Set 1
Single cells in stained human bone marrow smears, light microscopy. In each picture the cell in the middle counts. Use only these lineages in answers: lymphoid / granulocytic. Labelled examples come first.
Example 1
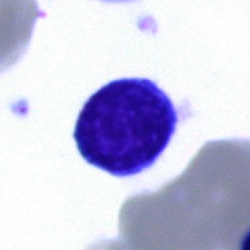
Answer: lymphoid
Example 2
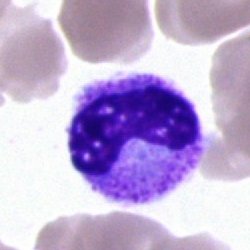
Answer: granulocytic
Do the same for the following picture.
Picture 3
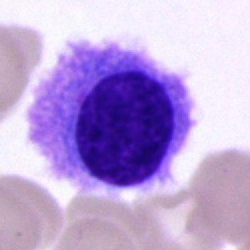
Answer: lymphoid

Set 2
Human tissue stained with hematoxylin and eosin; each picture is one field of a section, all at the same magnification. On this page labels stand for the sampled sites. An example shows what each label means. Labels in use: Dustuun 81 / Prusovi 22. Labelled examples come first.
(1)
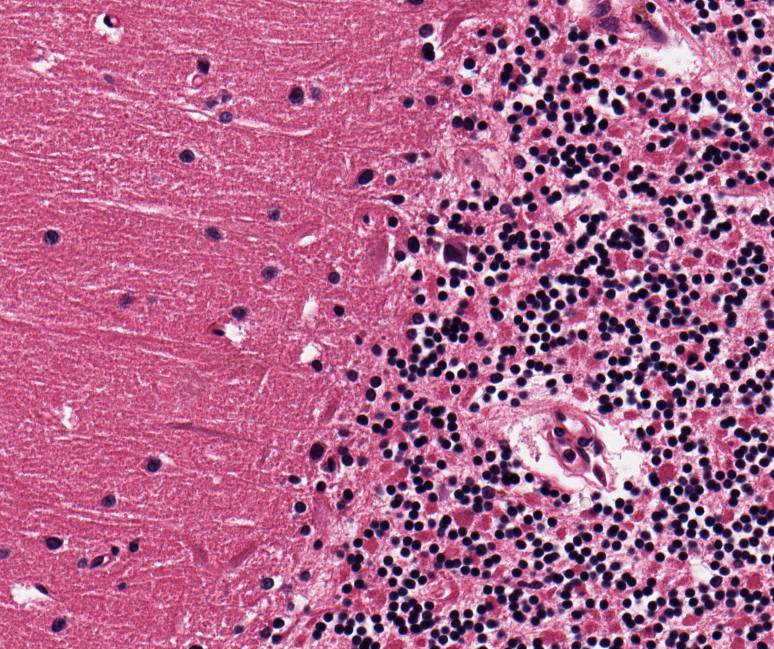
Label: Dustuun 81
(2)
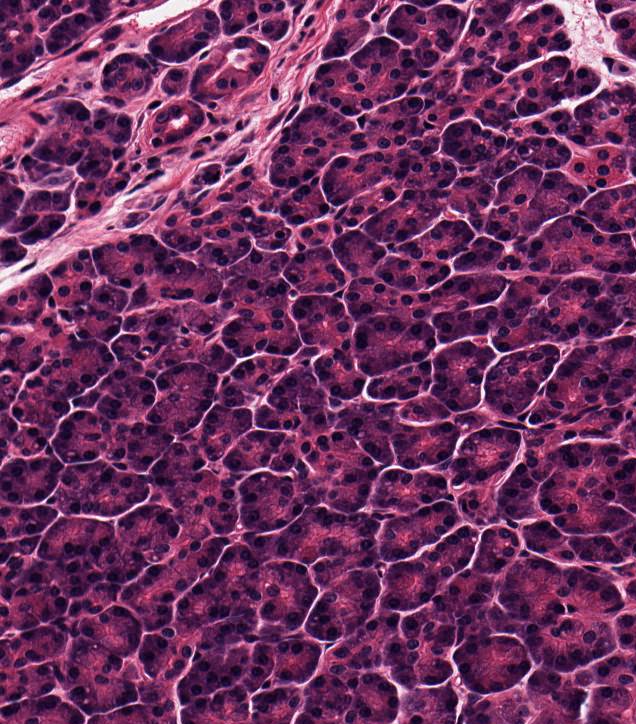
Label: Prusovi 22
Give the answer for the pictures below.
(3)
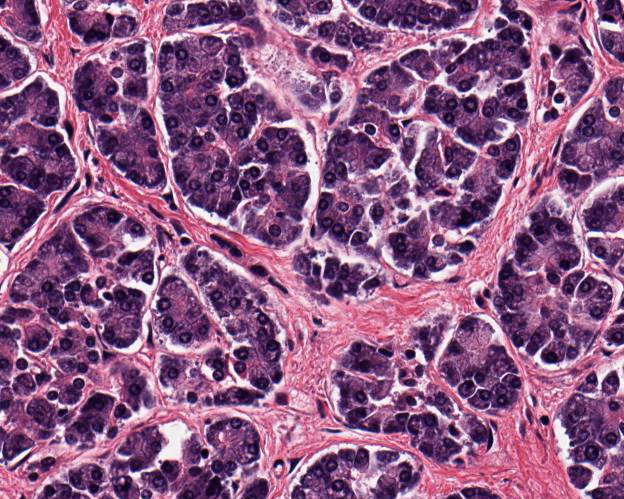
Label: Prusovi 22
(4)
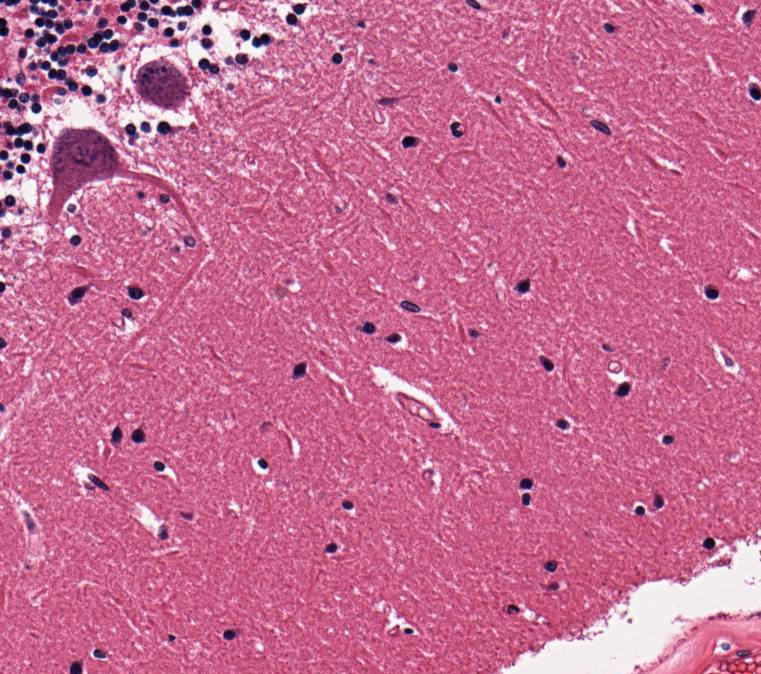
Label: Dustuun 81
